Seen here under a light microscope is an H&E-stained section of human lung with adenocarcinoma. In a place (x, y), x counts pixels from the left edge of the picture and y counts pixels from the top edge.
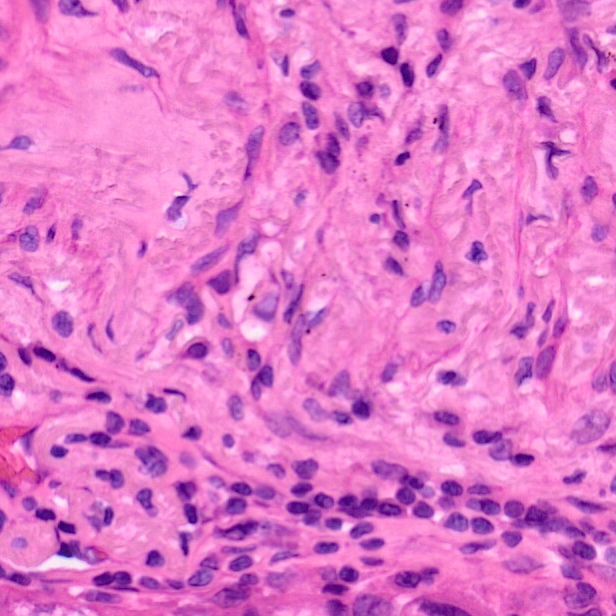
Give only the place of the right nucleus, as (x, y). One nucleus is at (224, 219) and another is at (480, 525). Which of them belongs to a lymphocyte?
(480, 525)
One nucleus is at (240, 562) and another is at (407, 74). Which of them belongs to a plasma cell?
(407, 74)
